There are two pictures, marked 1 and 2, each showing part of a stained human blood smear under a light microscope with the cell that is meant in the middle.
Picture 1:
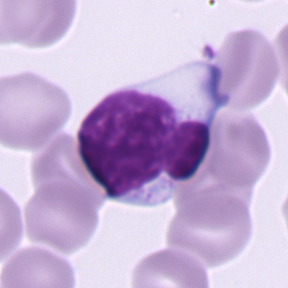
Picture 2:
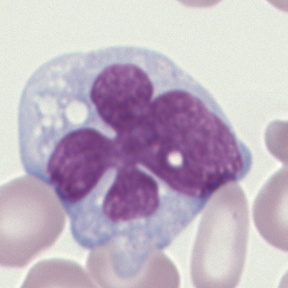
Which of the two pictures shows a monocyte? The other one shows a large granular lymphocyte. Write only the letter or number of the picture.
2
